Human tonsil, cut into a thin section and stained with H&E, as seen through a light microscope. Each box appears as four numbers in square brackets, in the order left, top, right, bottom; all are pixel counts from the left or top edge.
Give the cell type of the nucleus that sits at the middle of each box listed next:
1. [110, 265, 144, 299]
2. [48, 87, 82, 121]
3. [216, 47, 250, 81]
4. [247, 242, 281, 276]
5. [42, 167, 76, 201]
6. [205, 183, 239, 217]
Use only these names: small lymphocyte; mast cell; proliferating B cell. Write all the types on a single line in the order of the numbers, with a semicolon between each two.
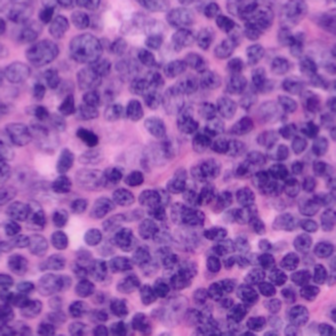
small lymphocyte; proliferating B cell; small lymphocyte; small lymphocyte; proliferating B cell; small lymphocyte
